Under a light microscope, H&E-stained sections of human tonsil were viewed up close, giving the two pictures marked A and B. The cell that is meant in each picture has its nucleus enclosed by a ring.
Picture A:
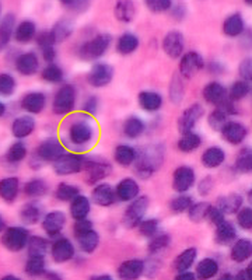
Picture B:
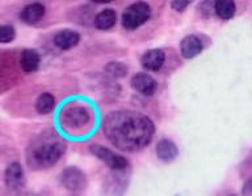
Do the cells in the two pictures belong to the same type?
no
